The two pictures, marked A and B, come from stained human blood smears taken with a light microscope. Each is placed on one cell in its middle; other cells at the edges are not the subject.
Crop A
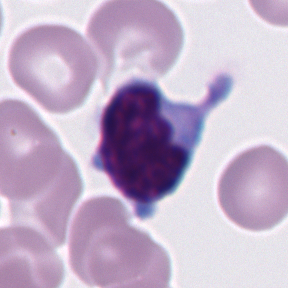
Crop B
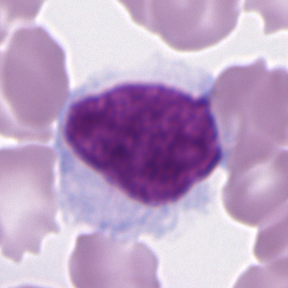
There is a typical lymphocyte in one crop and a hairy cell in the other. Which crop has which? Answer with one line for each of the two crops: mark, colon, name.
A: typical lymphocyte
B: hairy cell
